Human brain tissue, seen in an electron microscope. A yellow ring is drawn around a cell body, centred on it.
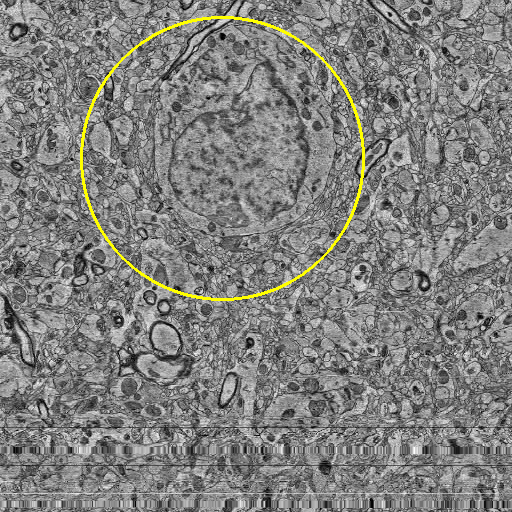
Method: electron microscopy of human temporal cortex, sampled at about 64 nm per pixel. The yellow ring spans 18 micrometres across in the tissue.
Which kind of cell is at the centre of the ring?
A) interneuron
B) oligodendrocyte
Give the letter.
A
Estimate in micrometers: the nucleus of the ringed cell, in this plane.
About 9 micrometres across, as seen in this plane.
